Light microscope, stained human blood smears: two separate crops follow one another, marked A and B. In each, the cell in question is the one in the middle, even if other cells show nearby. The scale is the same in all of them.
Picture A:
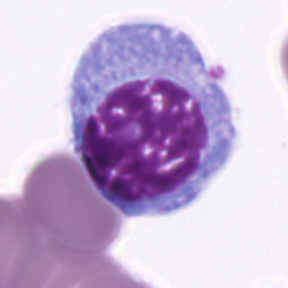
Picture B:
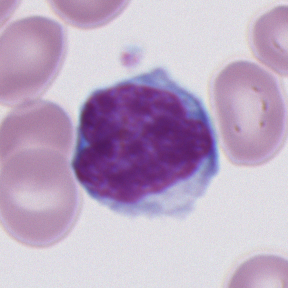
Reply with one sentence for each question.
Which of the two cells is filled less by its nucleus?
The nucleus fills less of the cell in picture A than in picture B.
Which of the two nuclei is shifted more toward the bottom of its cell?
Seen within its cell, the nucleus in picture A lies further toward the bottom.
